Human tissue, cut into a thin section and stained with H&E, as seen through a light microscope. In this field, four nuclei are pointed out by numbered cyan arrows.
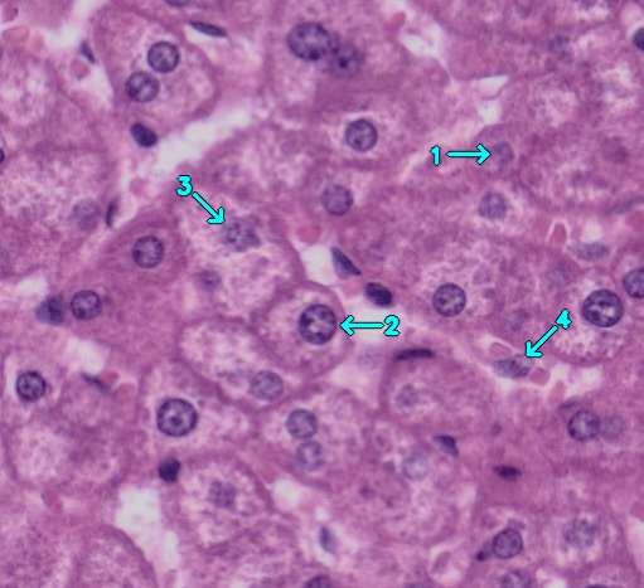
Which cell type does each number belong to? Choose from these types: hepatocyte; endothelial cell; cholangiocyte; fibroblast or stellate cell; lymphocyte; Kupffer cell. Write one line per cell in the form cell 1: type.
cell 1: hepatocyte
cell 2: hepatocyte
cell 3: hepatocyte
cell 4: Kupffer cell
